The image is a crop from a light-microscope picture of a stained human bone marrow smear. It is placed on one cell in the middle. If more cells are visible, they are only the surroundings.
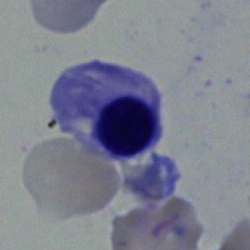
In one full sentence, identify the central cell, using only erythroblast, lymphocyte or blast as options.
Present in the middle of the crop is an erythroblast.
